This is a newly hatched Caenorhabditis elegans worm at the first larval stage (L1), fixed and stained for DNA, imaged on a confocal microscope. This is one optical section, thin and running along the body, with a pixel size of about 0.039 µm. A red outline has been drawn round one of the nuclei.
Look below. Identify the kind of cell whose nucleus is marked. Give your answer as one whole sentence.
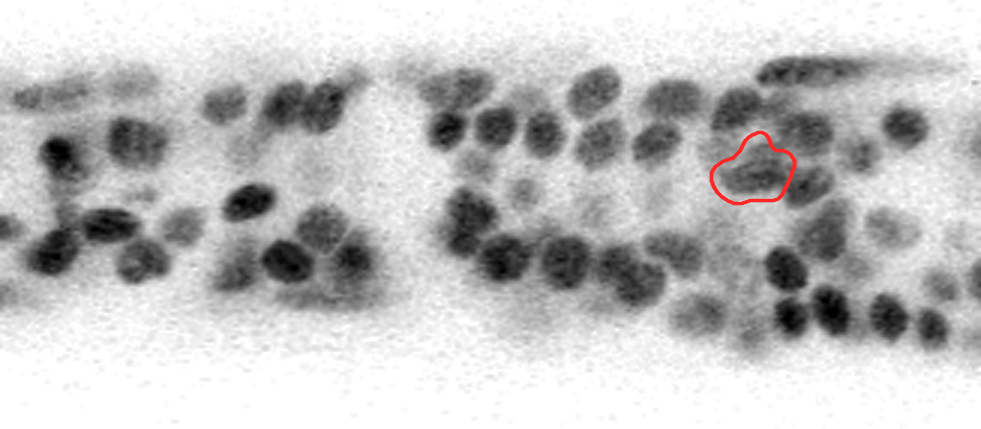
The nucleus comes from a pharyngeal marginal cell.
